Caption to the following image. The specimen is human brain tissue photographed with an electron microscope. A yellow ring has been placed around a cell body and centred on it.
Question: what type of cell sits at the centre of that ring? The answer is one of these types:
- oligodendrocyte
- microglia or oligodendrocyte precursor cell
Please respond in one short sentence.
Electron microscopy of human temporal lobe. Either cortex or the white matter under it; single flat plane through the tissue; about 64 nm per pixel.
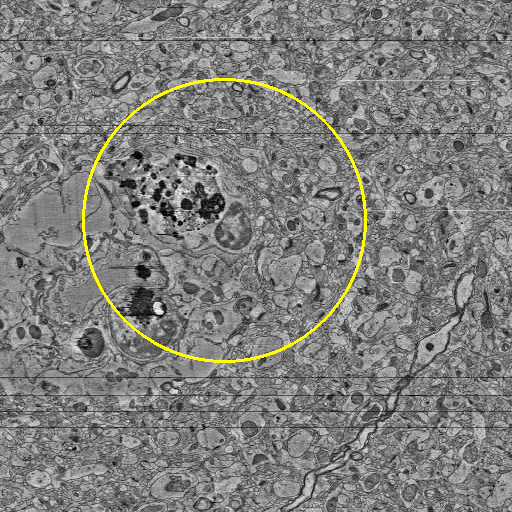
The ring surrounds the cell body of a microglial cell or oligodendrocyte precursor cell.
